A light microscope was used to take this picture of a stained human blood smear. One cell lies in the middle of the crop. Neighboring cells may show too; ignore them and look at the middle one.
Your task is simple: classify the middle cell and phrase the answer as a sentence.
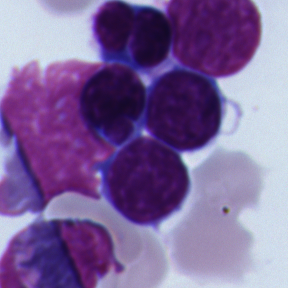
On this slide crop, the central cell is a myeloblast.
